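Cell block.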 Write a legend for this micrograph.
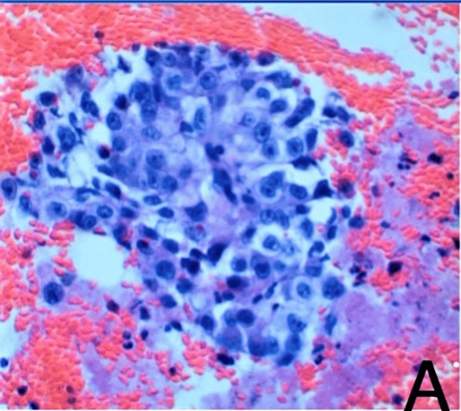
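A crowded cluster of tumor cells lies amid abundant red blood cells. The cells have enlarged round to oval nuclei that vary in size, with coarse chromatin and distinct nucleoli, and a modest rim of purple cytoplasm.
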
